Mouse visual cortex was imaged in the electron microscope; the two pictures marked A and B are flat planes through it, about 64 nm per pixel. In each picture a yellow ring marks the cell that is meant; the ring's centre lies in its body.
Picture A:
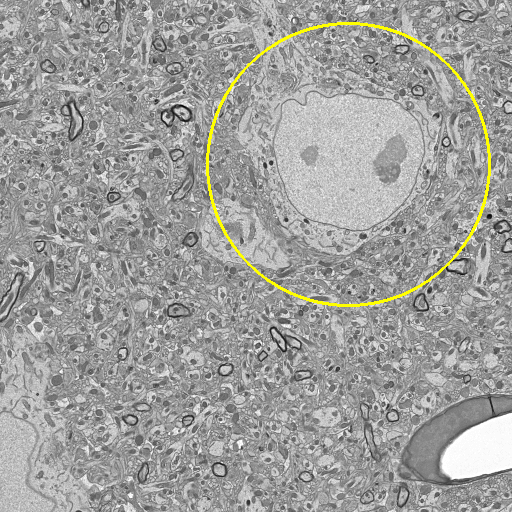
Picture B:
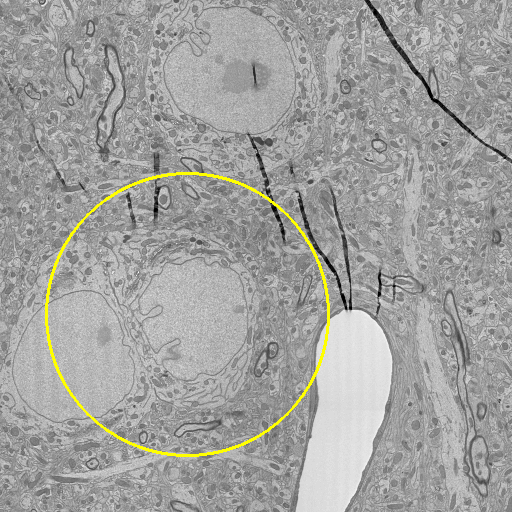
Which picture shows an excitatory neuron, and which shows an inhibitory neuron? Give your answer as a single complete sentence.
Picture A is of an excitatory neuron, and picture B is of an inhibitory neuron.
